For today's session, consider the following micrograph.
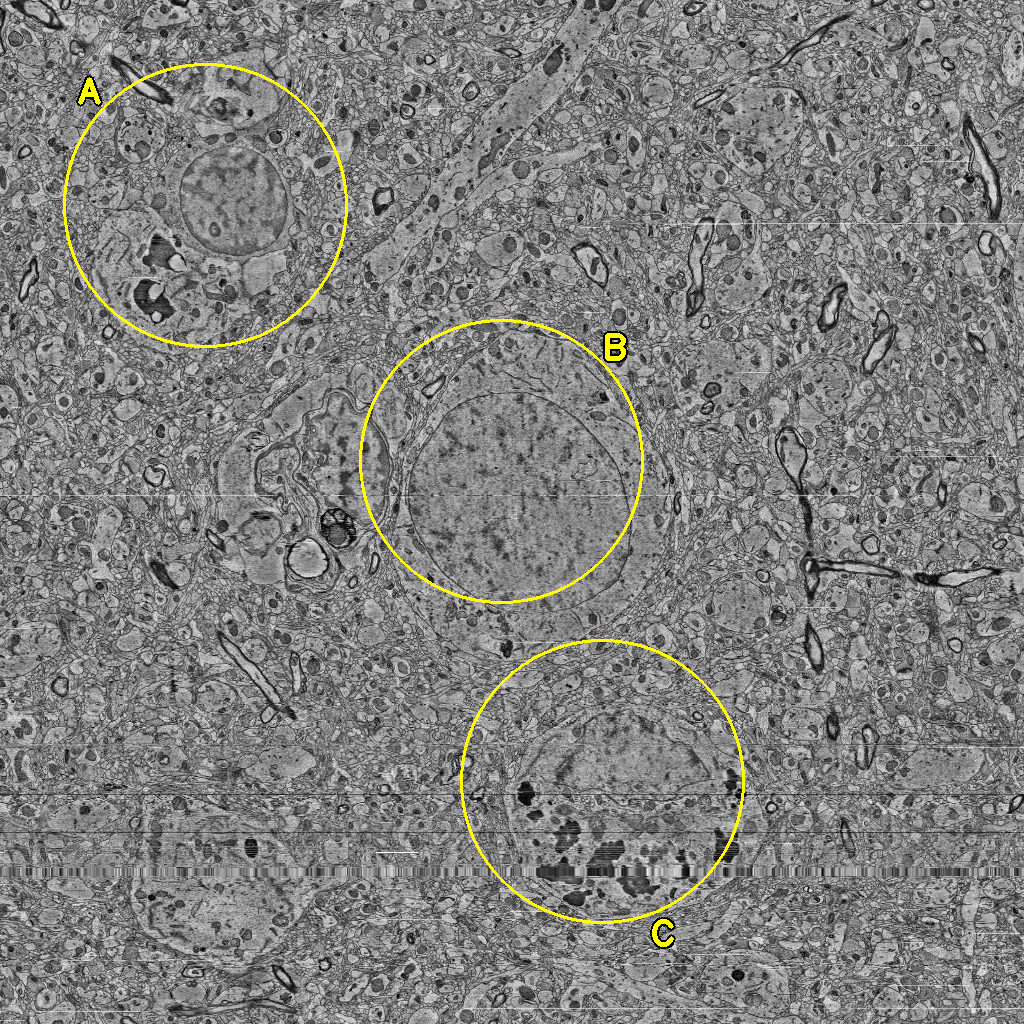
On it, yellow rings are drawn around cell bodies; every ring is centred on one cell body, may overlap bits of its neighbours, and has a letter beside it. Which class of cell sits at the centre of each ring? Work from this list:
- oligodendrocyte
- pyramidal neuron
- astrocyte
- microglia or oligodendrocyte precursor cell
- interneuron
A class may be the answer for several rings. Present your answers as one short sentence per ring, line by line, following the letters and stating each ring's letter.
Ring A centres on an oligodendrocyte.
Ring B centres on a pyramidal neuron.
Ring C centres on an interneuron.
